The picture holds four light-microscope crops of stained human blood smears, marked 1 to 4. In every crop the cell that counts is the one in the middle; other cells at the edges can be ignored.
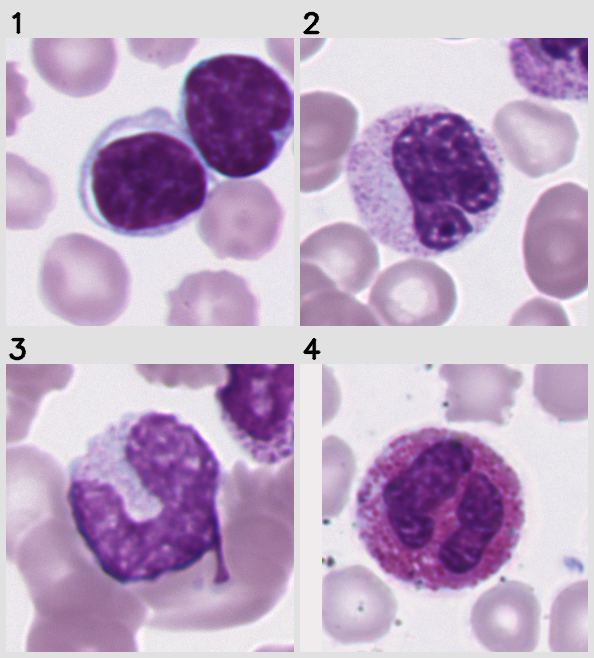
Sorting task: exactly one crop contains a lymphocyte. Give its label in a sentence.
The sole crop showing a lymphocyte is crop 1.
